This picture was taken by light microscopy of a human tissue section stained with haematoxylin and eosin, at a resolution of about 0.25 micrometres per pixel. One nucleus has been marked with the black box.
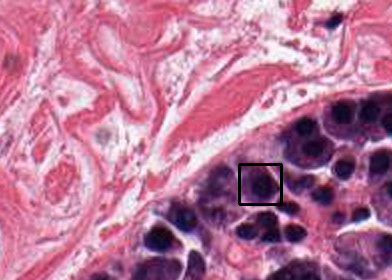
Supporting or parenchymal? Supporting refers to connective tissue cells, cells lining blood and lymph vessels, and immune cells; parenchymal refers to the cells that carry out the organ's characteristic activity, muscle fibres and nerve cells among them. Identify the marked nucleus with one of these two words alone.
parenchymal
